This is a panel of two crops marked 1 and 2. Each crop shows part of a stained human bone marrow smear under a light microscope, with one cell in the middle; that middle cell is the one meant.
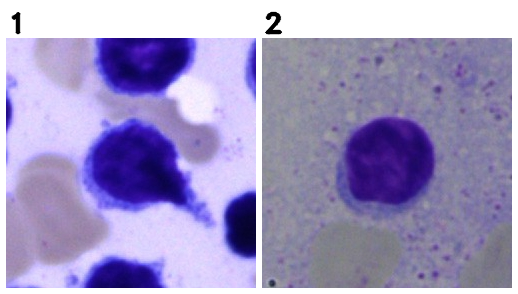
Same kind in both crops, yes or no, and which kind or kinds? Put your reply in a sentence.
Yes, the cells at the centre of both crops are lymphocytes.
